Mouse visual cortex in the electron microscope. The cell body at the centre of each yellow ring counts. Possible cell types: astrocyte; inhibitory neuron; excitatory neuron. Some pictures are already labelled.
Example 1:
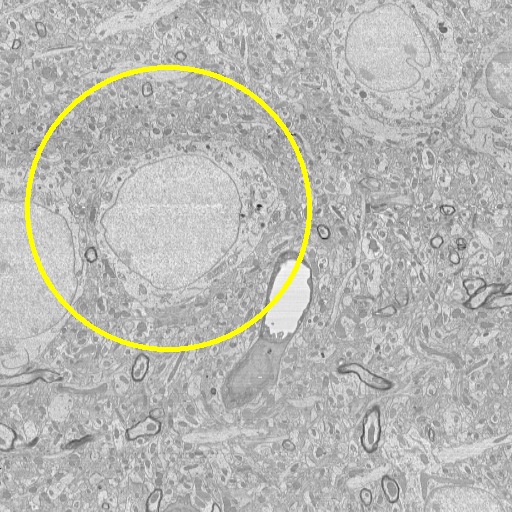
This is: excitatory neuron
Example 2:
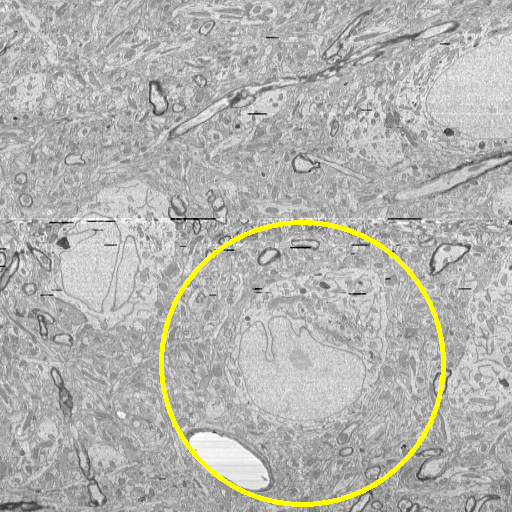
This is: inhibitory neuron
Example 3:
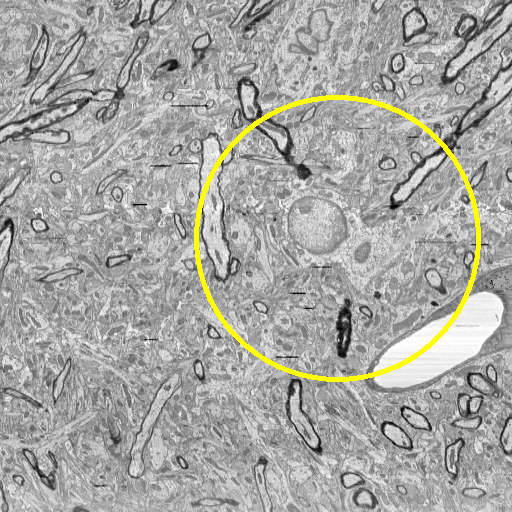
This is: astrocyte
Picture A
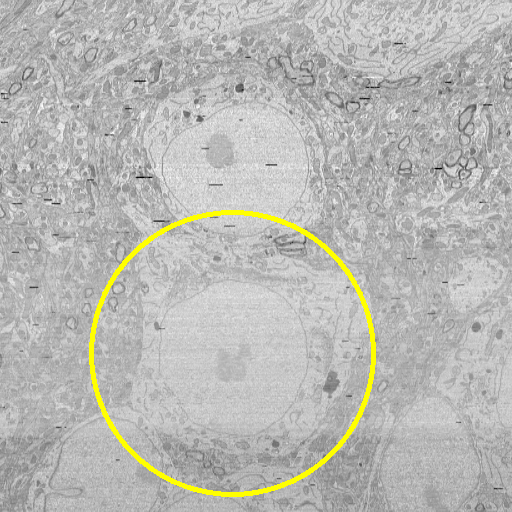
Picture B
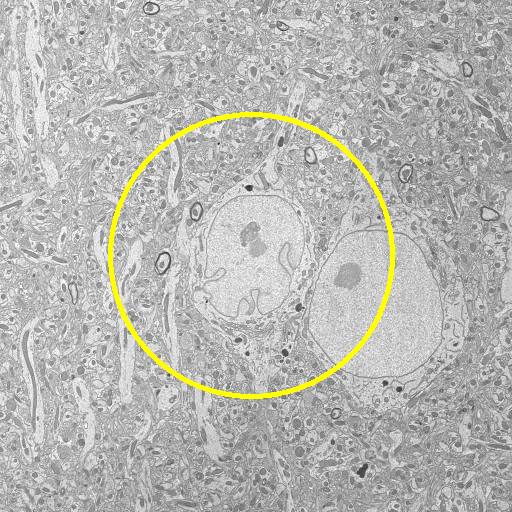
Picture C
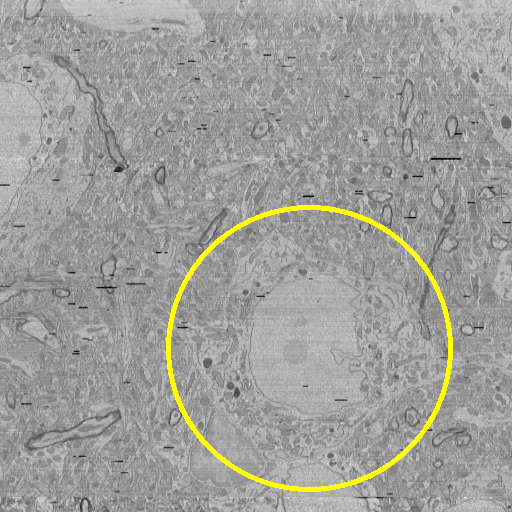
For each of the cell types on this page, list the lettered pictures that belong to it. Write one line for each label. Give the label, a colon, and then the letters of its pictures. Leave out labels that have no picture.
inhibitory neuron: B, C
excitatory neuron: A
